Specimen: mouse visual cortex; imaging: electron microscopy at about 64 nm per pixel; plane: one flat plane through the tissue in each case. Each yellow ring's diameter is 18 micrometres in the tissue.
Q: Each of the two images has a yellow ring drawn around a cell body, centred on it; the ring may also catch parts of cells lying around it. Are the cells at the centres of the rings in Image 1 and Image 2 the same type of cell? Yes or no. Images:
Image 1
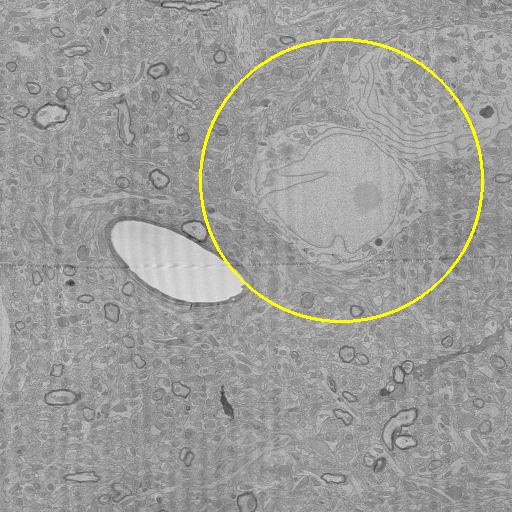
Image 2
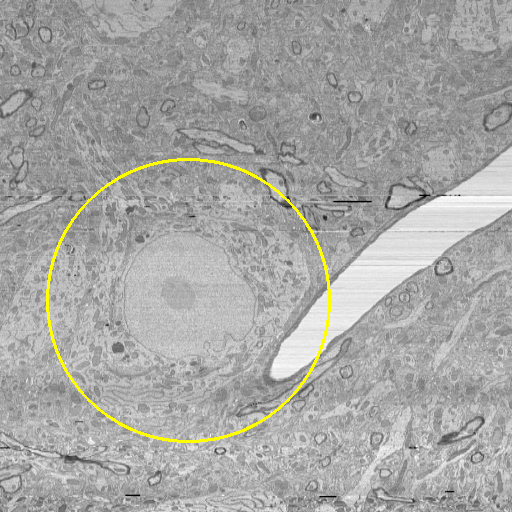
no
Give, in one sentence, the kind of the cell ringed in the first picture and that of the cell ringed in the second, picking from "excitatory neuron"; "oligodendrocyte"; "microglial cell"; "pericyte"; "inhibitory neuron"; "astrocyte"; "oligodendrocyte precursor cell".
For the first picture it is an excitatory neuron; for the second, an inhibitory neuron.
